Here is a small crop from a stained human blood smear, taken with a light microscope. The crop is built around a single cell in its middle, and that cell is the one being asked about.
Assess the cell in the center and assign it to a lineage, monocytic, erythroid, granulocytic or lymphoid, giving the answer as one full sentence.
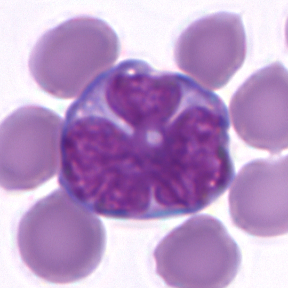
The lineage to which the central cell belongs is monocytic.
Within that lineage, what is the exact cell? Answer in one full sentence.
The cell occupying the middle of the crop is a monocyte.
